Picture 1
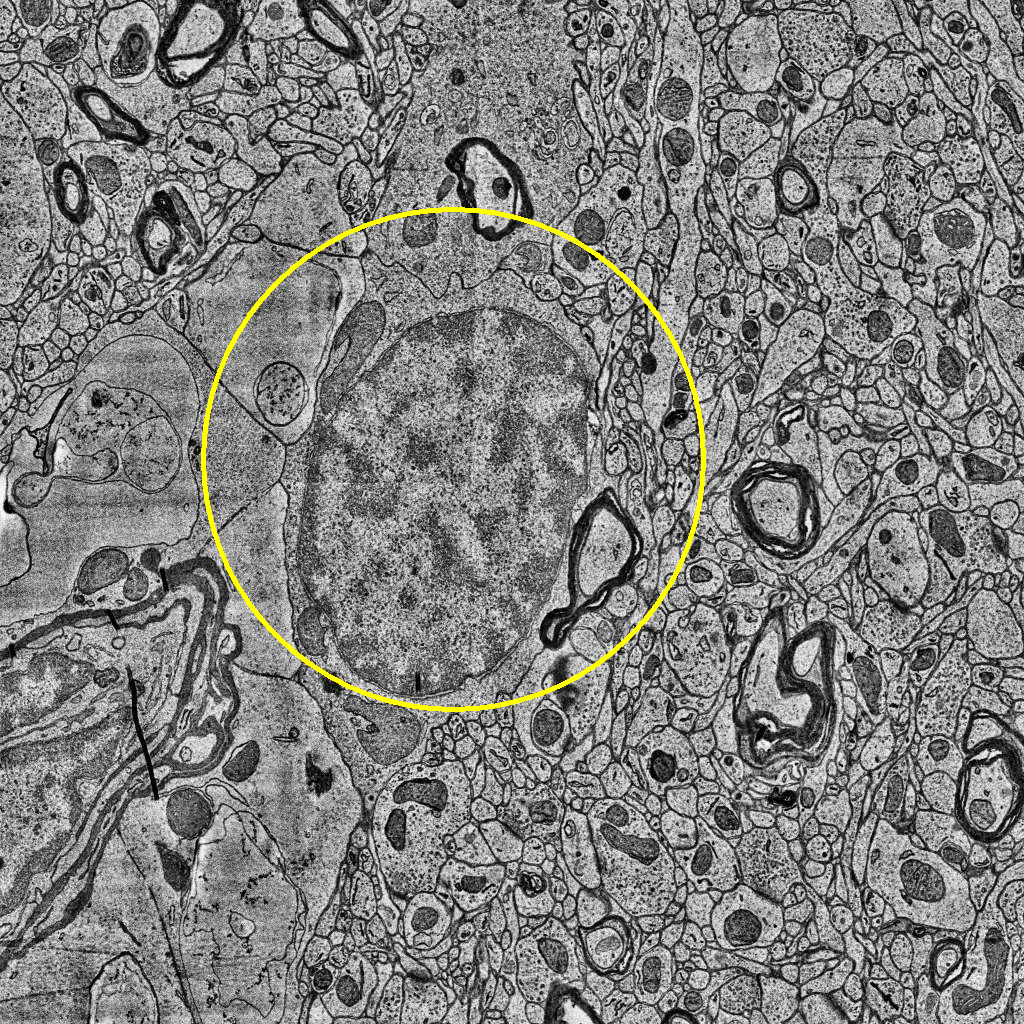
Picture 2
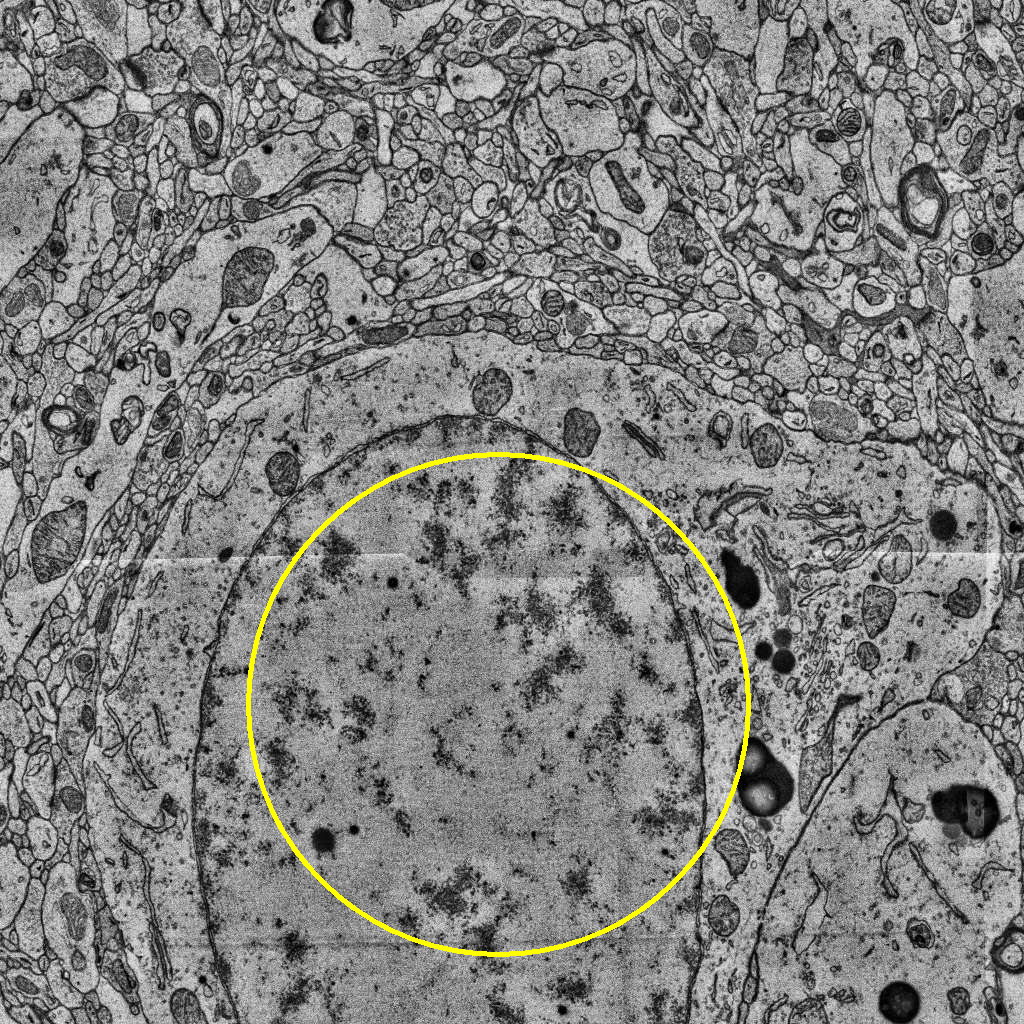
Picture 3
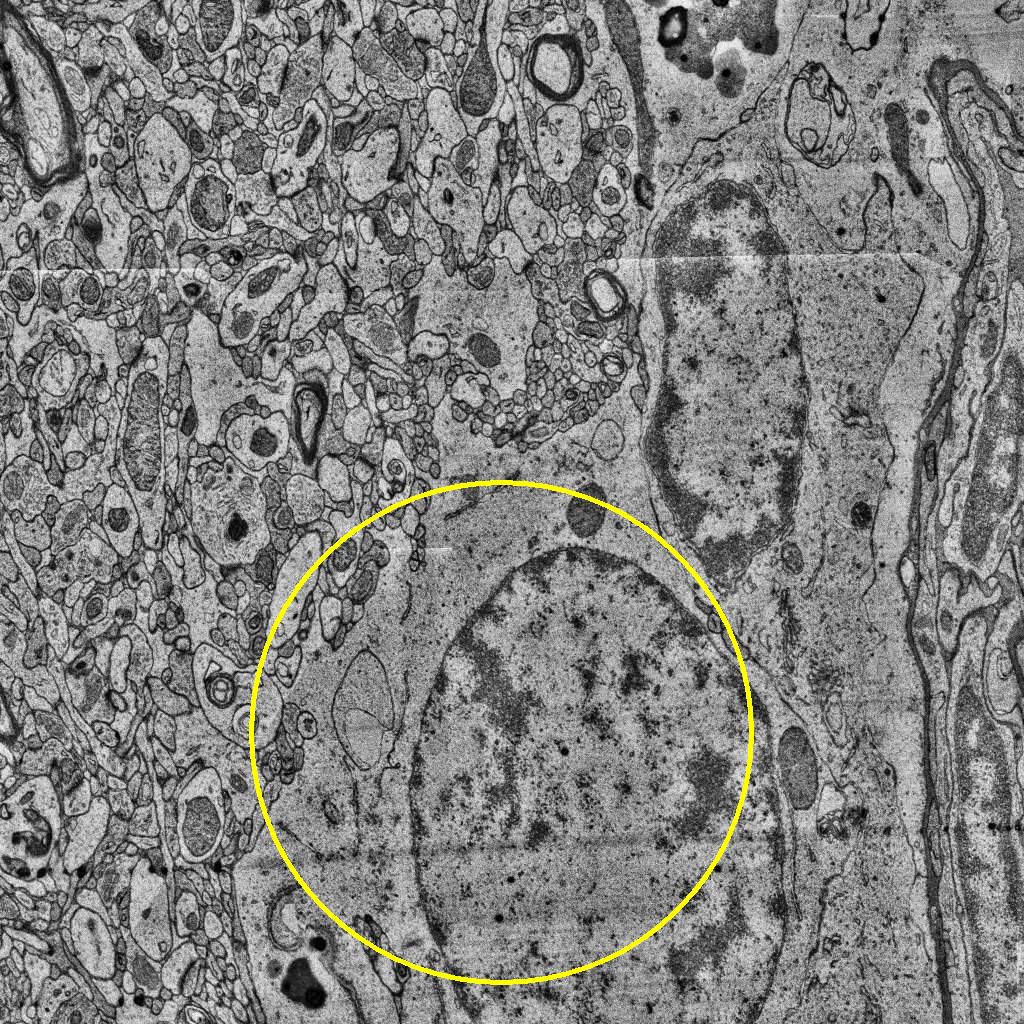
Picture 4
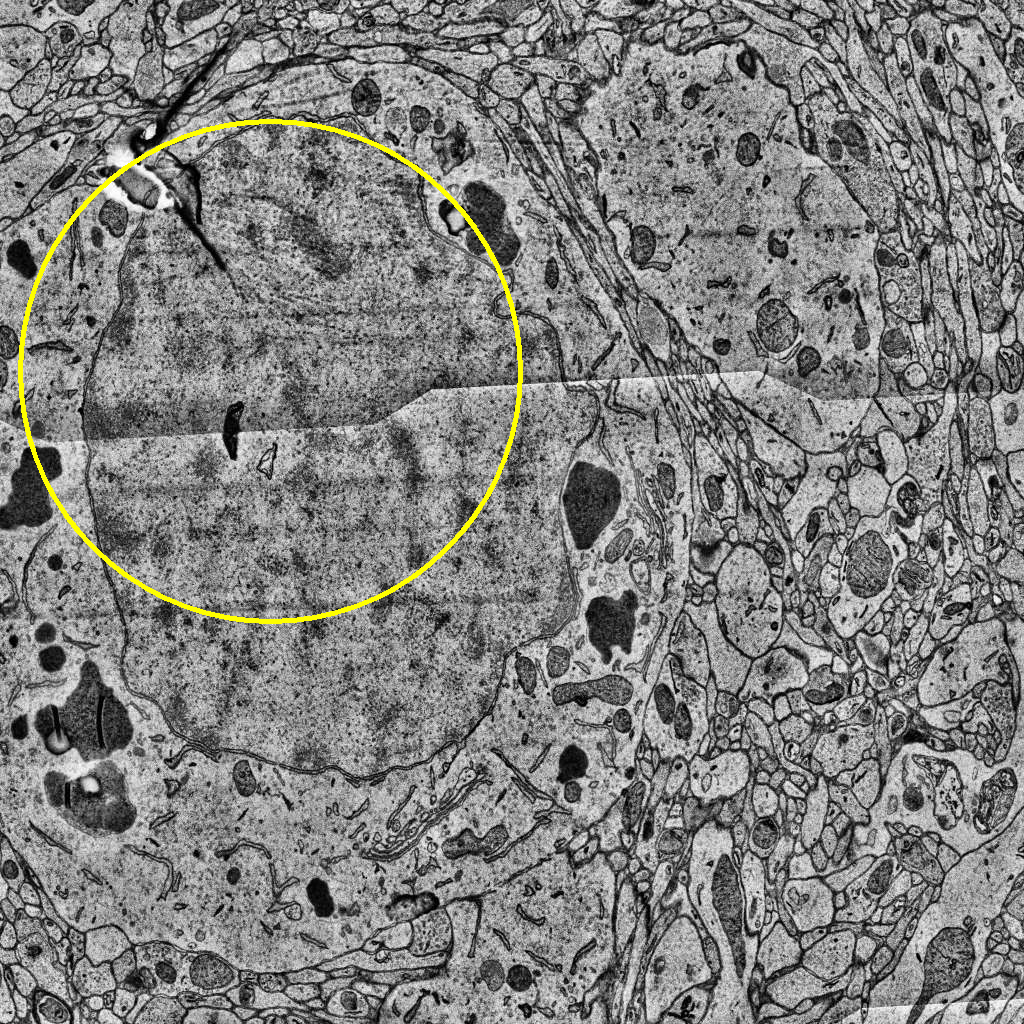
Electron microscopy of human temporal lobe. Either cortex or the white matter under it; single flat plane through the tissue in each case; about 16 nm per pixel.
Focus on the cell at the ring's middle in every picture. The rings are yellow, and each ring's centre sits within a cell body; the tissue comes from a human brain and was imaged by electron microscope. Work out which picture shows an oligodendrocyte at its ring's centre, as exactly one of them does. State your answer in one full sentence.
In picture 1, the ring's centre lies inside the cell in question.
